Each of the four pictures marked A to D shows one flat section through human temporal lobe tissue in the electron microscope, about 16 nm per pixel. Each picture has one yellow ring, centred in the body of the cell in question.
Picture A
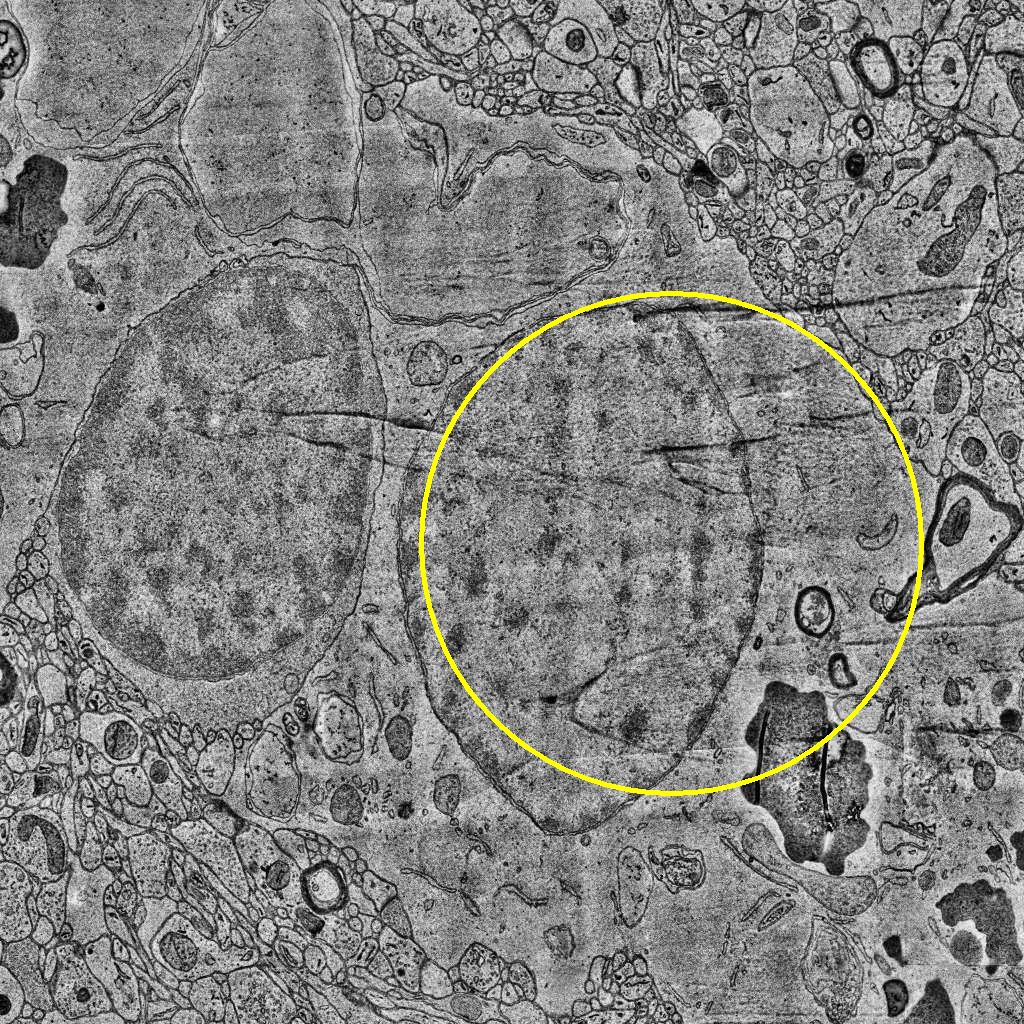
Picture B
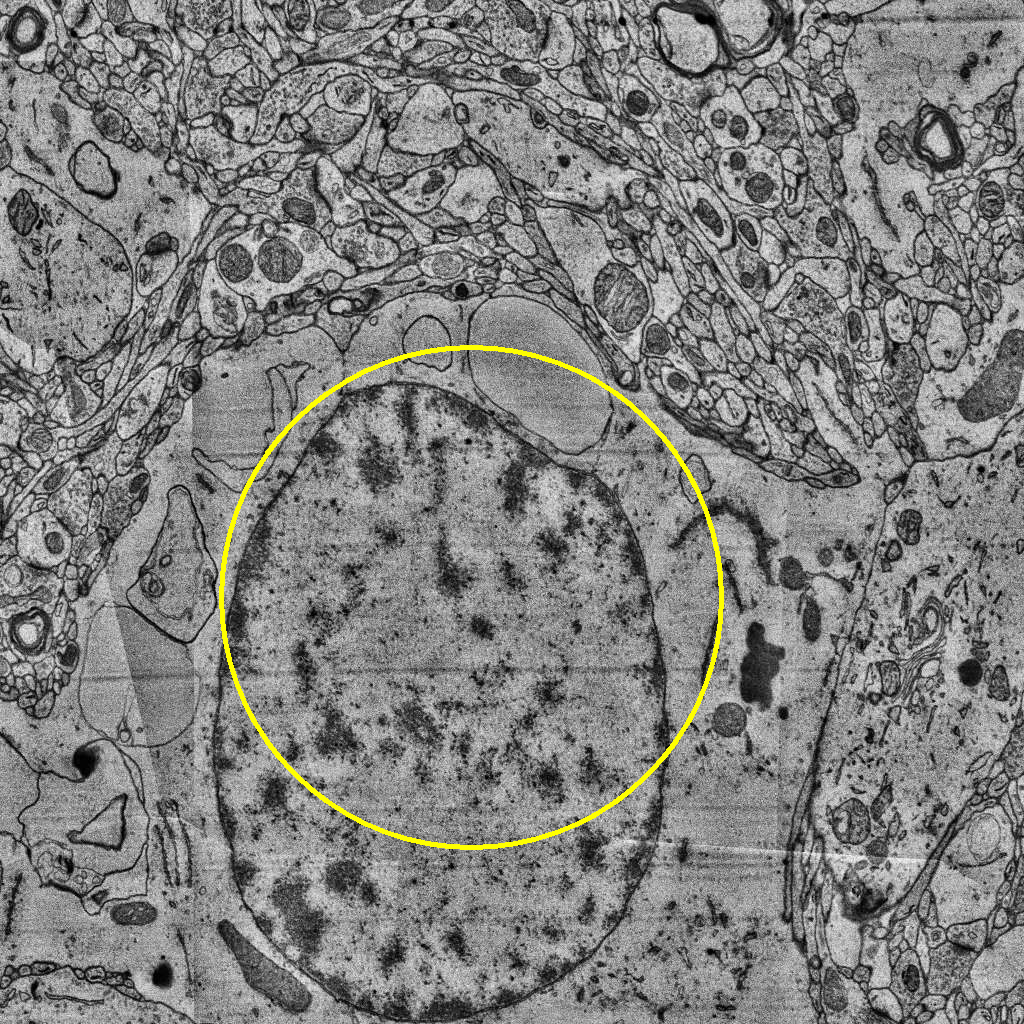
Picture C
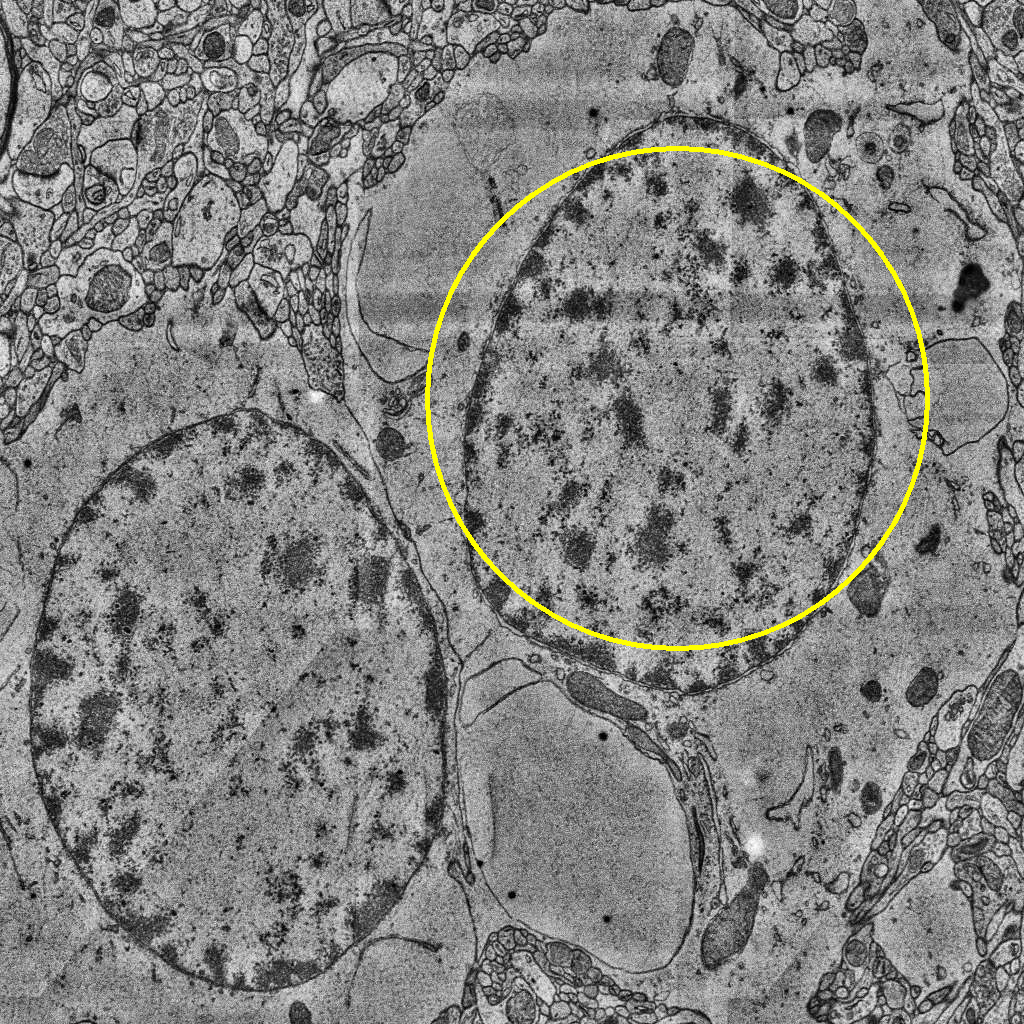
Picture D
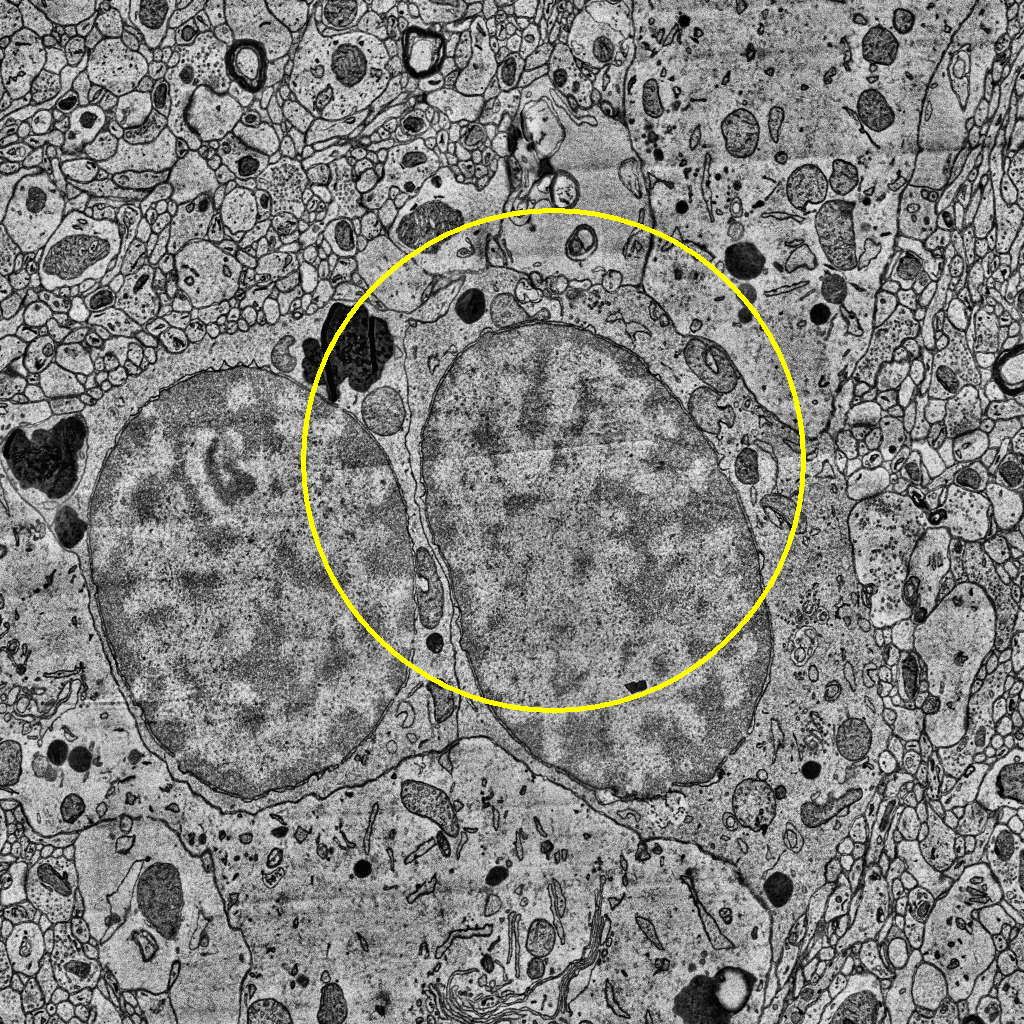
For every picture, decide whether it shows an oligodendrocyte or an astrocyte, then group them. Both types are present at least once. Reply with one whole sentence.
Picture D shows an oligodendrocyte; pictures A, B and C show astrocytes.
